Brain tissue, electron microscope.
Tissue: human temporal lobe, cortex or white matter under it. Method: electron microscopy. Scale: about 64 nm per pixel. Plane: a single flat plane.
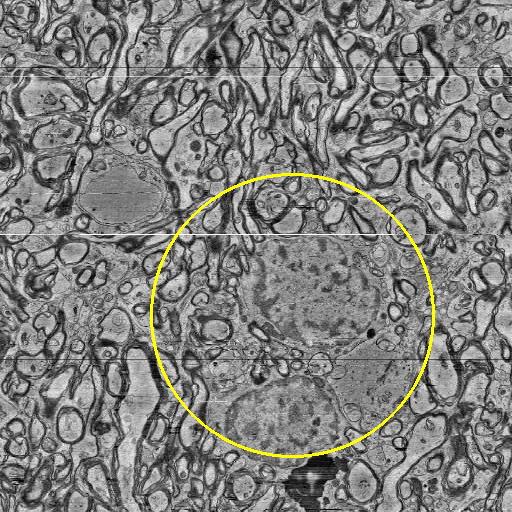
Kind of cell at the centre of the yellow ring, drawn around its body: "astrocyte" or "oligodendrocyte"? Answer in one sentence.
The ring's centre falls on an oligodendrocyte.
